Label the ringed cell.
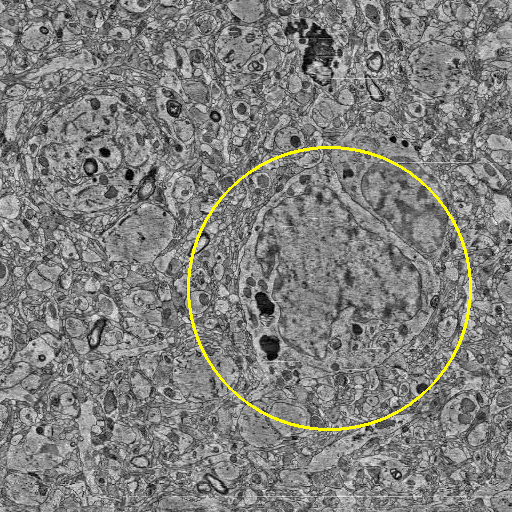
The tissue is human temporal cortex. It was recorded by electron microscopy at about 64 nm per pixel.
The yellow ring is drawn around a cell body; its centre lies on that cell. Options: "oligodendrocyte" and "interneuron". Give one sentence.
The ringed cell is an interneuron.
